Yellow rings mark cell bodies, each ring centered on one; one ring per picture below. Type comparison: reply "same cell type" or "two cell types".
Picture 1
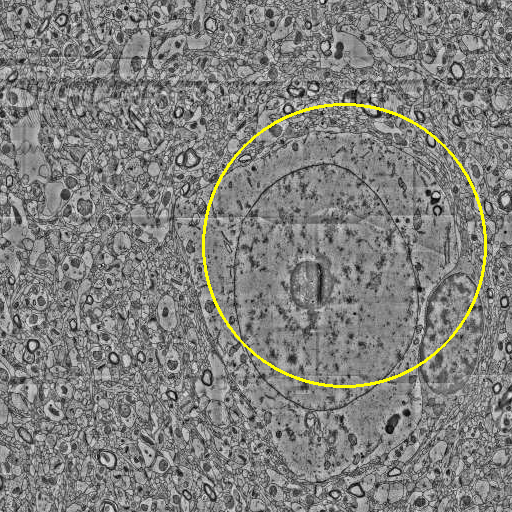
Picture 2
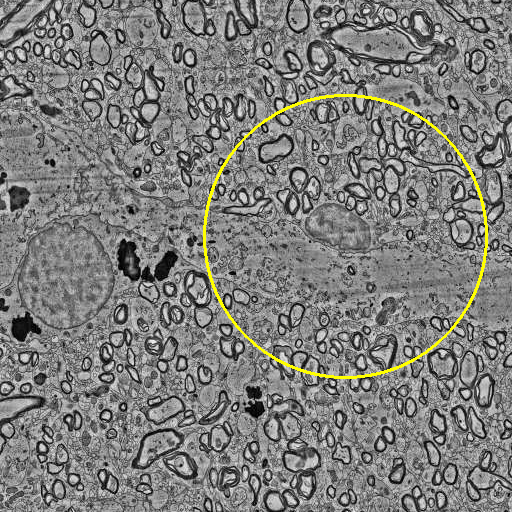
two cell types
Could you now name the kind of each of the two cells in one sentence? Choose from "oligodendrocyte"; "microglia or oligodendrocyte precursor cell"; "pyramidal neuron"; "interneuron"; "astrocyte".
The first ring encloses a pyramidal neuron; the second ring encloses an oligodendrocyte.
